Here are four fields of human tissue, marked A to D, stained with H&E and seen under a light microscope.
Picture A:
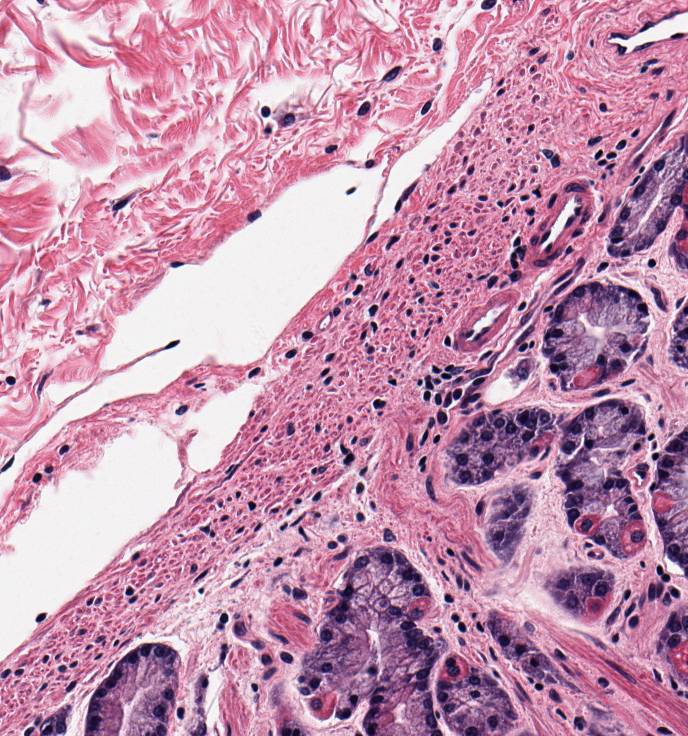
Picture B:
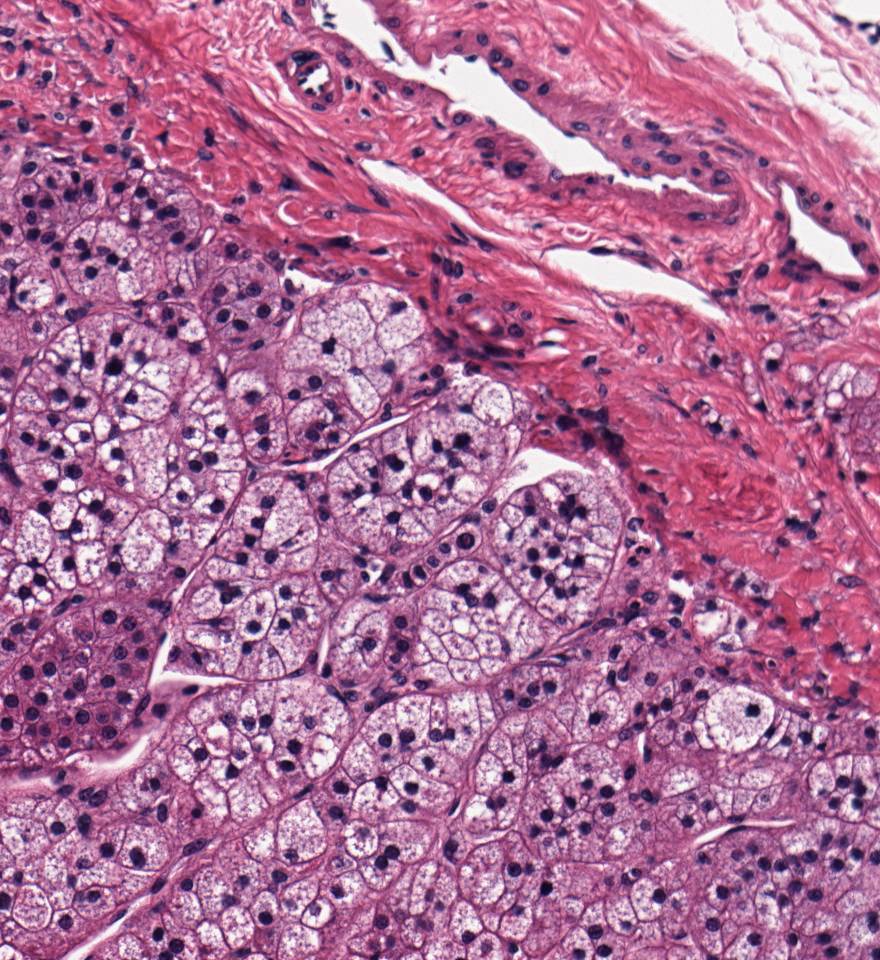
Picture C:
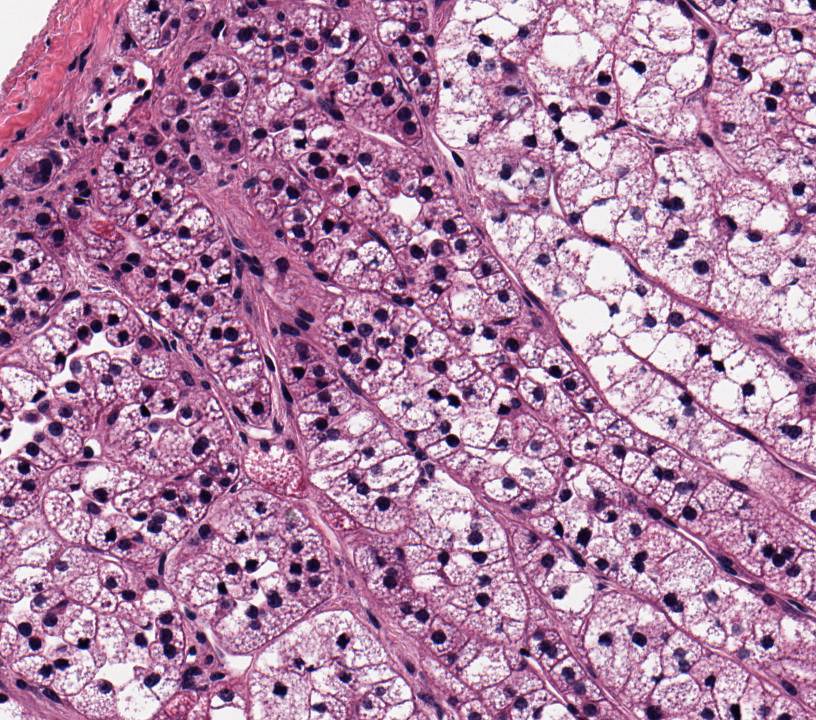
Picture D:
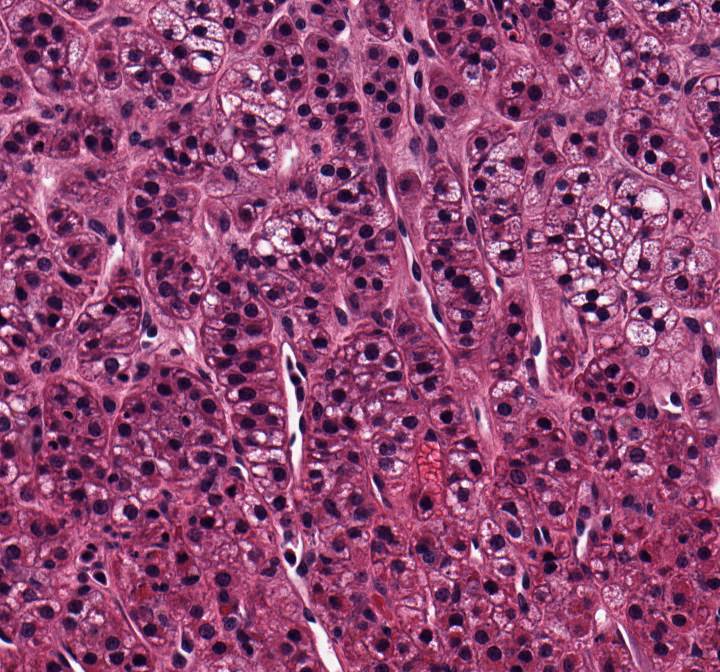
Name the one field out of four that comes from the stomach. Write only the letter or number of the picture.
A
